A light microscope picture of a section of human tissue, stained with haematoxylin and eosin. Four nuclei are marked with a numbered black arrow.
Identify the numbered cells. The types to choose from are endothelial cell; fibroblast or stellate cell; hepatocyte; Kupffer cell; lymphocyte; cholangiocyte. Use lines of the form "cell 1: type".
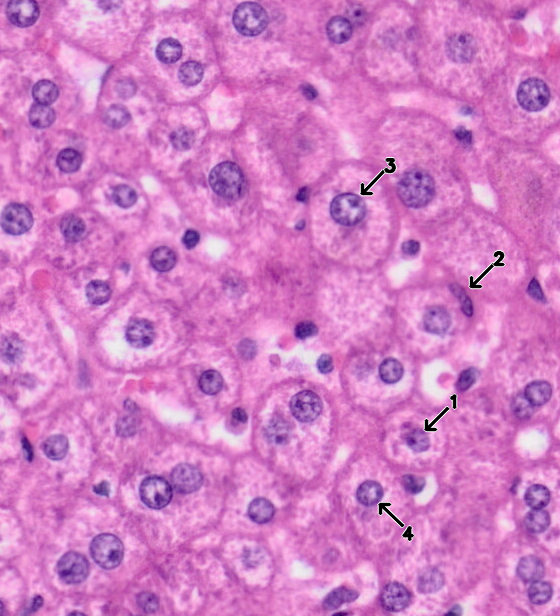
cell 1: hepatocyte
cell 2: Kupffer cell
cell 3: hepatocyte
cell 4: hepatocyte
